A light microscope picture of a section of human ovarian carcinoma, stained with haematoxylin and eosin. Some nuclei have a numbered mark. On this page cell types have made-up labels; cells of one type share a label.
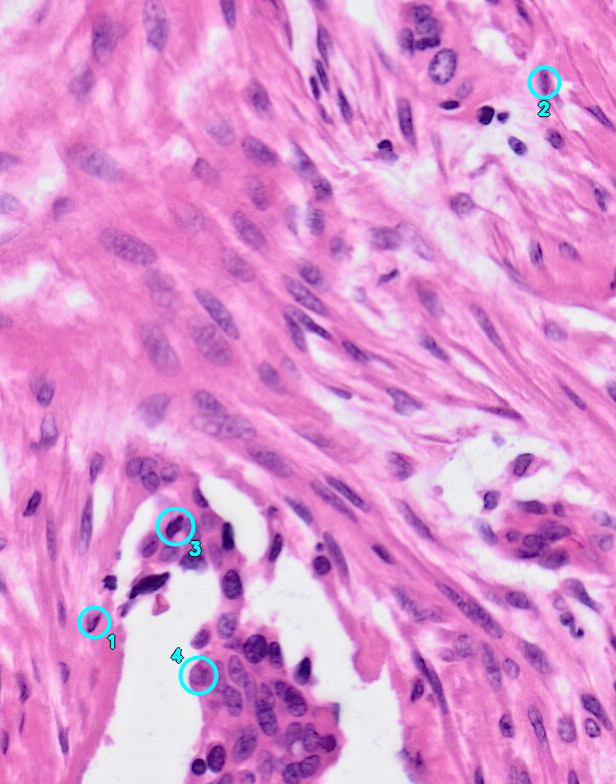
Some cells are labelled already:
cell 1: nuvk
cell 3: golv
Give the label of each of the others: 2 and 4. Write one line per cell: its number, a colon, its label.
2: nuvk
4: golv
